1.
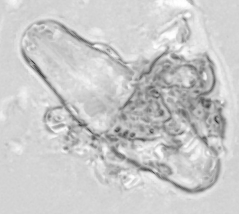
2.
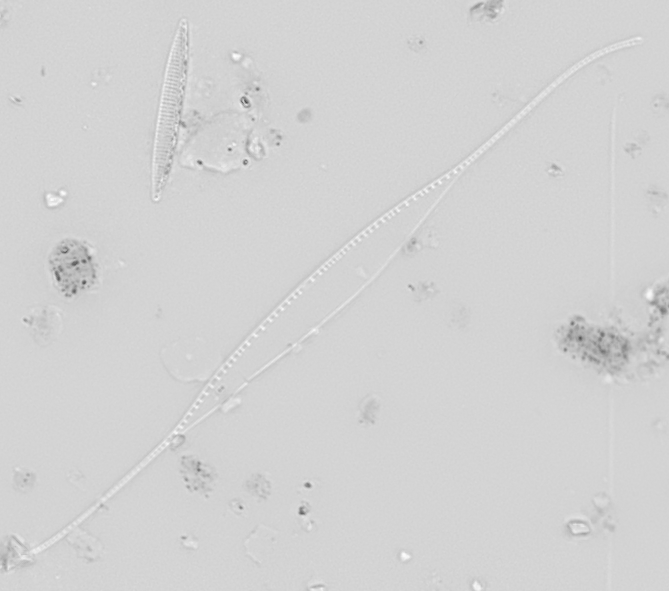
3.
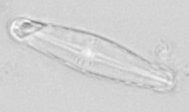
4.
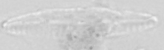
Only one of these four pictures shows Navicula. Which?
Picture 4.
